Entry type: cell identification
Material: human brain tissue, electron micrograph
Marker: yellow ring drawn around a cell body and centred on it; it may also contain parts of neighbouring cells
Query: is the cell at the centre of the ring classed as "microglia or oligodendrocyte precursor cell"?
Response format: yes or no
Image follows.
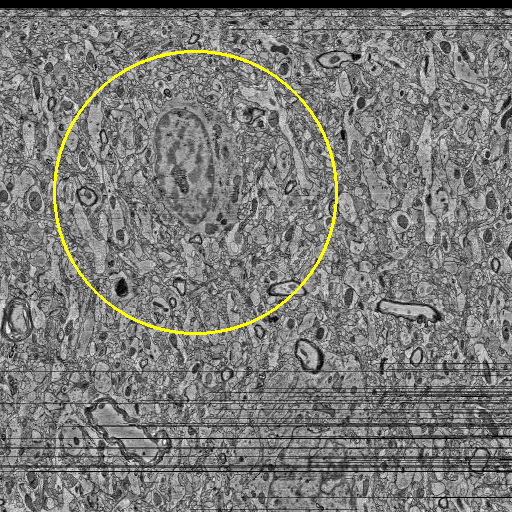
no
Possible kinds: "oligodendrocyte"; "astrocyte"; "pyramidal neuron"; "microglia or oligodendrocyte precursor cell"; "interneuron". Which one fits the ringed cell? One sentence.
As it turns out, the cell at the ring centre is an oligodendrocyte.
